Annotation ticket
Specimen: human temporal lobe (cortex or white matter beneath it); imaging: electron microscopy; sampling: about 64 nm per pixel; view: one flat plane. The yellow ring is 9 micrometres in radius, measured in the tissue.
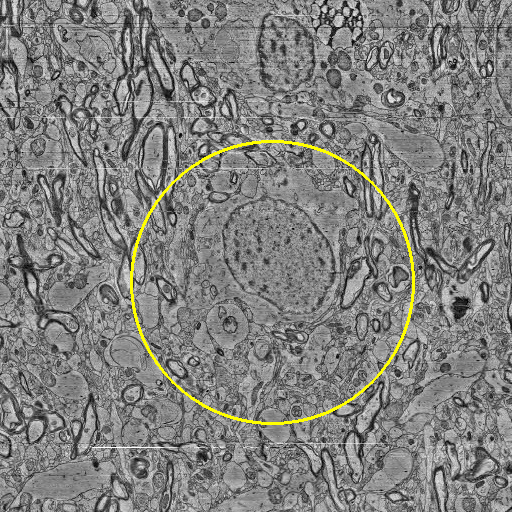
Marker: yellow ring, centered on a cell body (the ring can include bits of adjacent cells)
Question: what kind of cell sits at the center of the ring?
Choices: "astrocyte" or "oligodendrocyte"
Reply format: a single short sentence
The ring is centered on an astrocyte.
